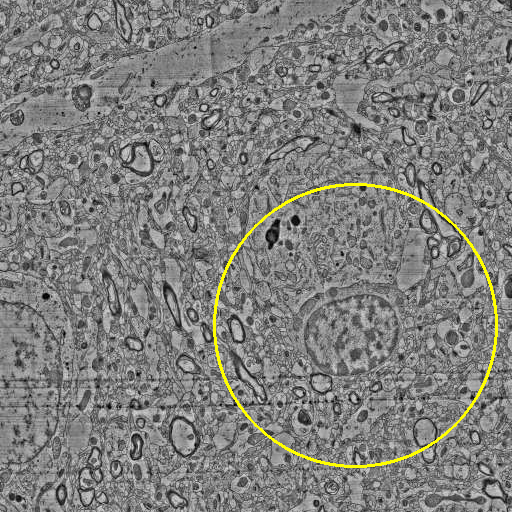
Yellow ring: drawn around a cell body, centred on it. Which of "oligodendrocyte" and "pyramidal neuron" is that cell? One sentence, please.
That cell body is from an oligodendrocyte.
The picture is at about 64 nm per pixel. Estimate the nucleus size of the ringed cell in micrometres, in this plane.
Roughly 6 by 5 micrometres is the size of the nucleus in this plane.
